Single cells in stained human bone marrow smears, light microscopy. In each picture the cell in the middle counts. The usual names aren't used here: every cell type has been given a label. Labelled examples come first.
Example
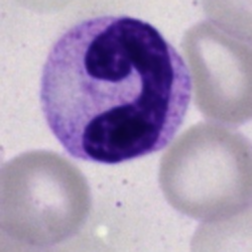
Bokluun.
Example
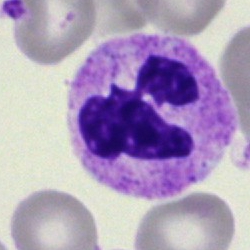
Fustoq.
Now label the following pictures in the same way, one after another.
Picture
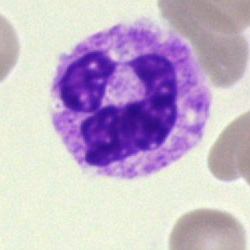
Fustoq.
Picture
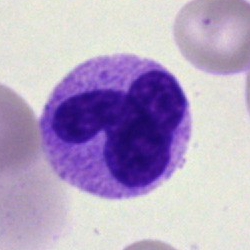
Fustoq.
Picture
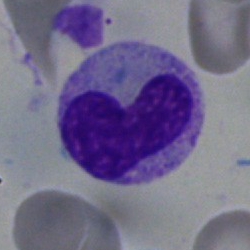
Bokluun.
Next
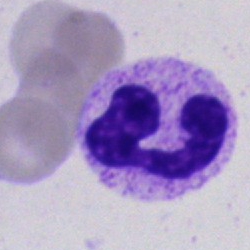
Fustoq.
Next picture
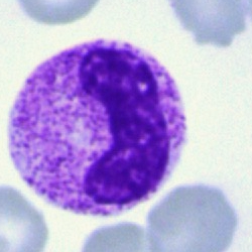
Bokluun.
